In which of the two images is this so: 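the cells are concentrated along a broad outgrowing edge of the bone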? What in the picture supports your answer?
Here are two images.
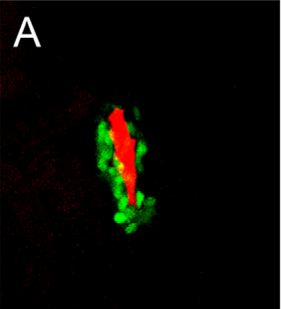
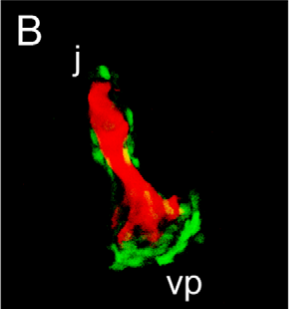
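Second image: the red bone widens at its lower end and green cells crowd in a curved band along that edge. First image: the red bone is a narrow rod with green cells lined along its length. On this evidence: the second image.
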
